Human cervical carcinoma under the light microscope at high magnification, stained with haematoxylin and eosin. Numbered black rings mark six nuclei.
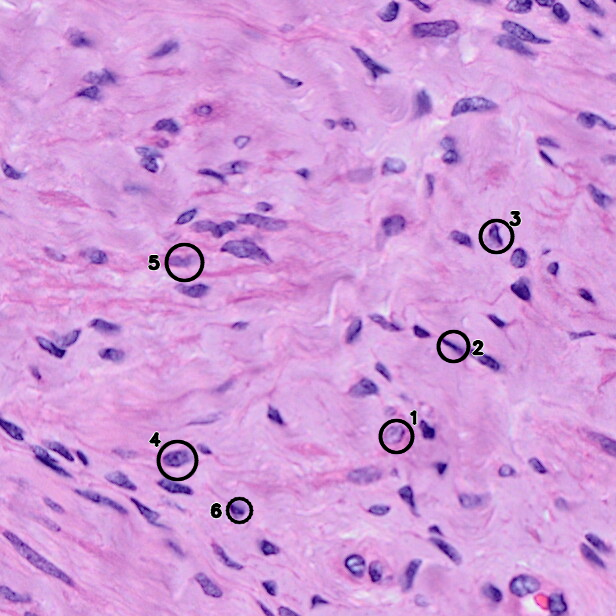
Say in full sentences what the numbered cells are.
Cell 1 is a smooth muscle cell, cell 2 is a fibroblast, cell 3 is a fibroblast, cell 4 is a fibroblast, cell 5 is a smooth muscle cell and cell 6 is a fibroblast.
